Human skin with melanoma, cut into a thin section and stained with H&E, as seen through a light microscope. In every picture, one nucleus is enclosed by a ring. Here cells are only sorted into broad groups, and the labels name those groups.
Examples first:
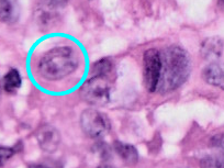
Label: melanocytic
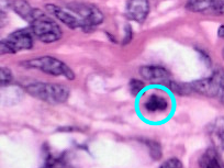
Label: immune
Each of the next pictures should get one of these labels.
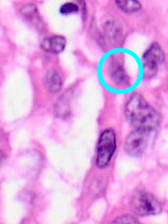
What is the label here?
melanocytic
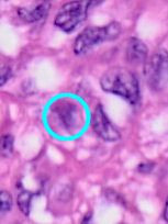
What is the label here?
melanocytic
